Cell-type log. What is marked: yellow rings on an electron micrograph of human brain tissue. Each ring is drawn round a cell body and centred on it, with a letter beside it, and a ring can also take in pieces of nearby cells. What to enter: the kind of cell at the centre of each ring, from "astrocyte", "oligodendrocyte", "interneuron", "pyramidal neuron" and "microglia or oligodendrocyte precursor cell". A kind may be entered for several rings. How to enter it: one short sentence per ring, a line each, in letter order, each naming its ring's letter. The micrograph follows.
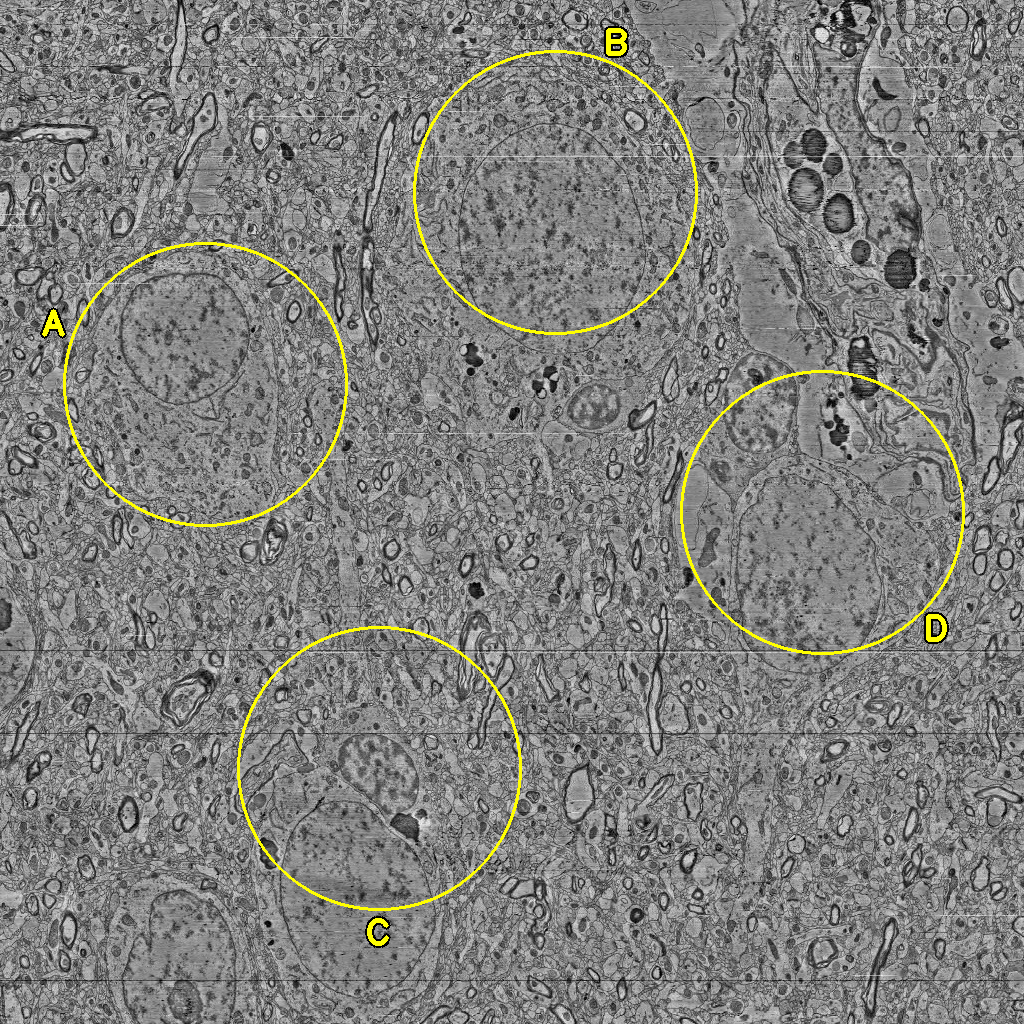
For ring A, the centre cell is a pyramidal neuron.
For ring B, the centre cell is a pyramidal neuron.
For ring C, the centre cell is an oligodendrocyte.
For ring D, the centre cell is a pyramidal neuron.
